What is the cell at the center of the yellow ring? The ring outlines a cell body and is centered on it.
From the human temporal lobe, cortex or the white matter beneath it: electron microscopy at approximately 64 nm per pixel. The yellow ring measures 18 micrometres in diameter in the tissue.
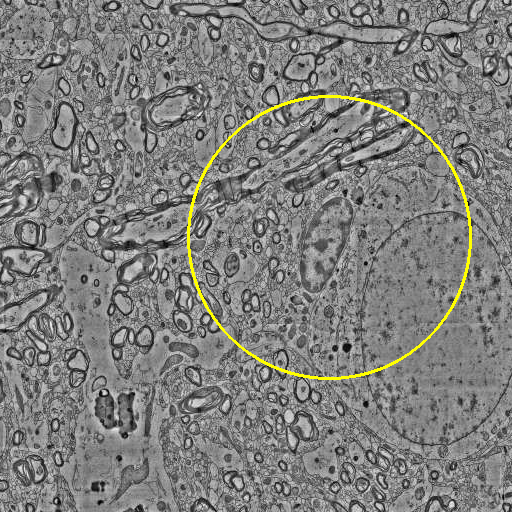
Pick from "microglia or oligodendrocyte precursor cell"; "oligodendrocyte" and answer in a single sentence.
The yellow ring is centered on a microglial cell or oligodendrocyte precursor cell.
